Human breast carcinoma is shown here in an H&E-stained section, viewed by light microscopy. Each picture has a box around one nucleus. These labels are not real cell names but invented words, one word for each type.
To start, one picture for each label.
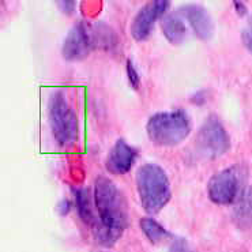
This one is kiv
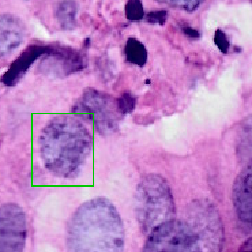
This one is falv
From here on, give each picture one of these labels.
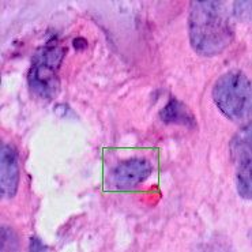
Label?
kiv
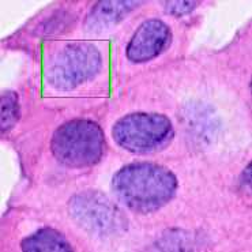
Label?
falv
